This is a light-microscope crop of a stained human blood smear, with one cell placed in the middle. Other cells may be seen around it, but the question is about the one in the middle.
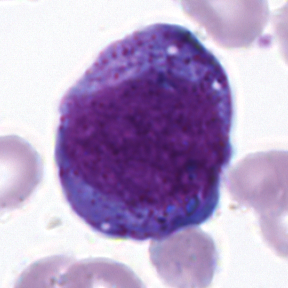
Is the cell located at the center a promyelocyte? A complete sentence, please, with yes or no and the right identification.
Yes, within this crop, the central cell is a promyelocyte.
